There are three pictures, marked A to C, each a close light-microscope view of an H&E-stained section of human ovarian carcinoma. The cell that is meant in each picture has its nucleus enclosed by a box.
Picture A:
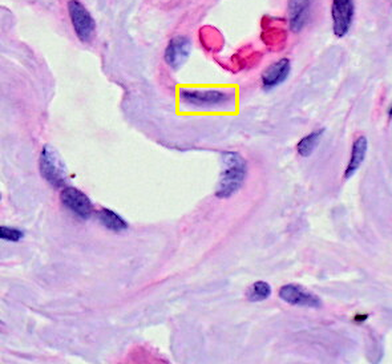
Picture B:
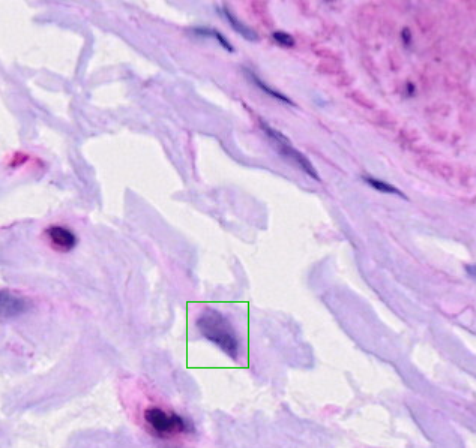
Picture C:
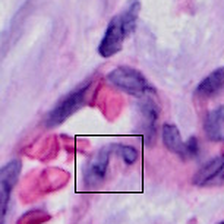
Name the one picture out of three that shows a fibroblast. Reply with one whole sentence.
The cell in picture B is the fibroblast.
